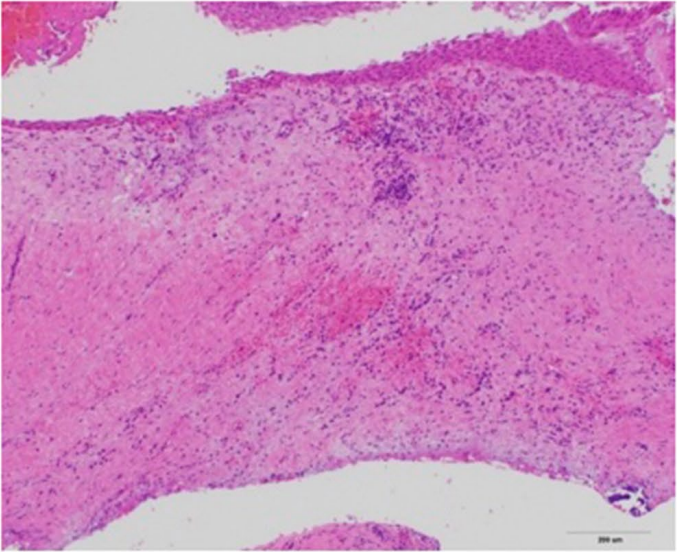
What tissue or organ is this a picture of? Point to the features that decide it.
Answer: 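A thin, multilayered band of more darkly pink cells runs along the upper edge of the tissue. The band lies on a paler, looser stroma beneath it. So: stratified squamous epithelium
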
